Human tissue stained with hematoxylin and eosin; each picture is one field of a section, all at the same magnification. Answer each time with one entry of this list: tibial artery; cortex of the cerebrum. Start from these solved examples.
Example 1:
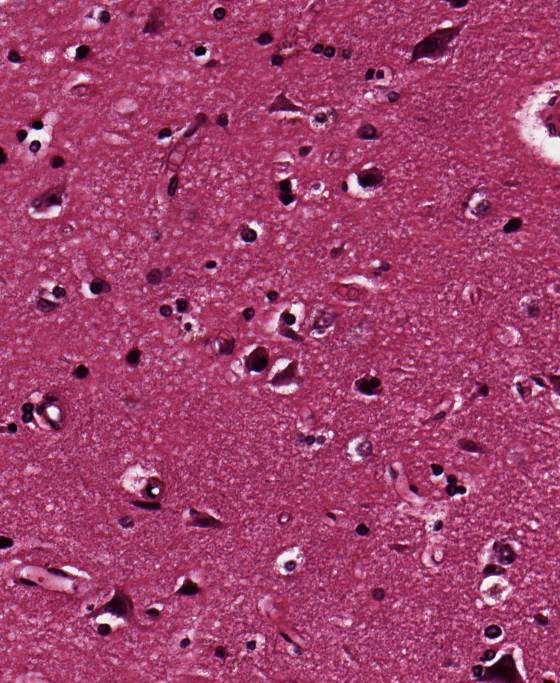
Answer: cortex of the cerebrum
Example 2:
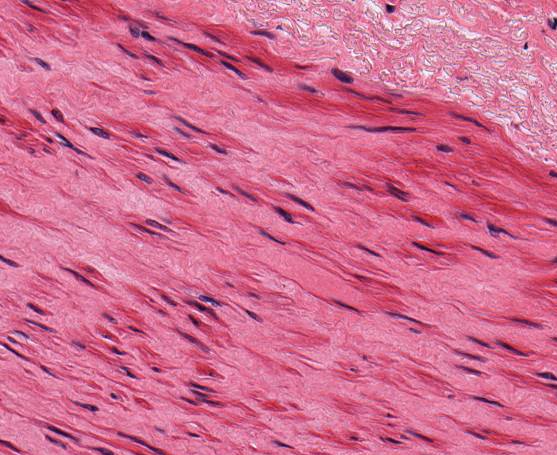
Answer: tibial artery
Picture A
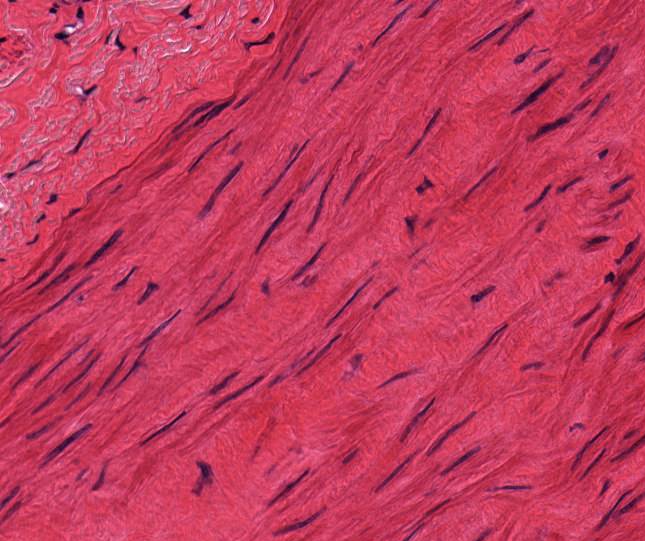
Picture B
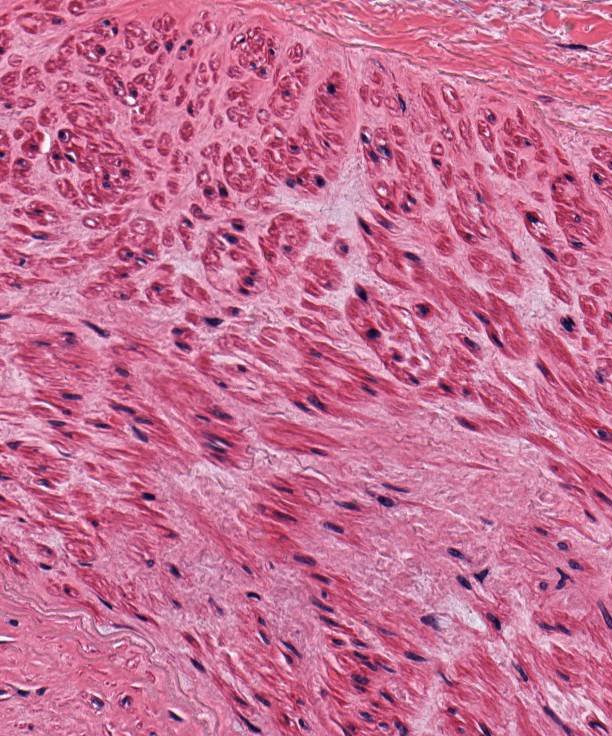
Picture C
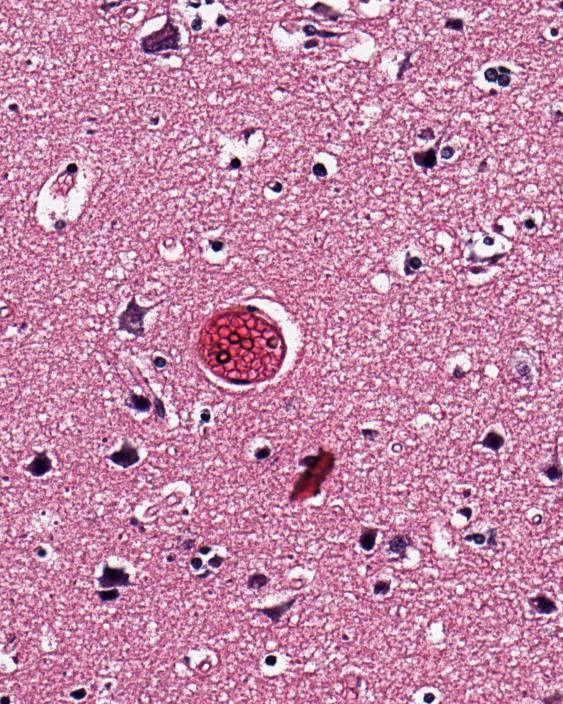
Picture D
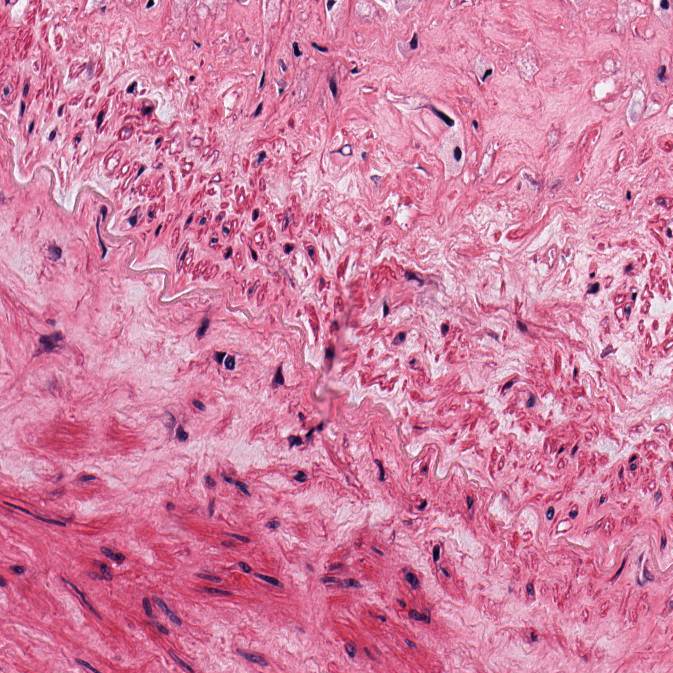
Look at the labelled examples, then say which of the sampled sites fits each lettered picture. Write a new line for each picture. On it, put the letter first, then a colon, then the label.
A: tibial artery
B: tibial artery
C: cortex of the cerebrum
D: tibial artery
